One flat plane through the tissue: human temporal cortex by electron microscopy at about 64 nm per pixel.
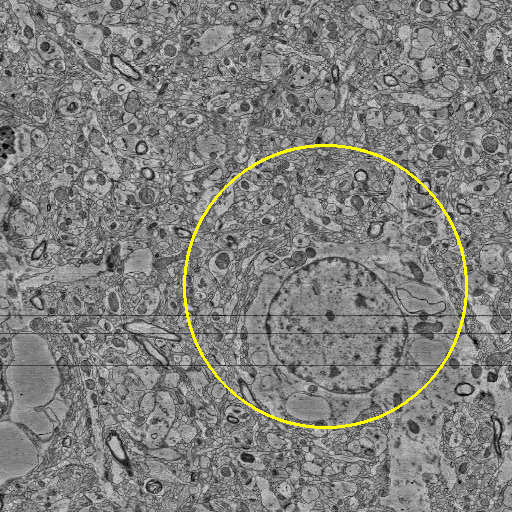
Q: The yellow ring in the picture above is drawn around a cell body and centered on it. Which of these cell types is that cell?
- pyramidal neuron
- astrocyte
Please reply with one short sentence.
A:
The cell body at the ring's center belongs to an astrocyte.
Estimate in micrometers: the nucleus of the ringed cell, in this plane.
In this plane the nucleus measures roughly 9 micrometres across.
